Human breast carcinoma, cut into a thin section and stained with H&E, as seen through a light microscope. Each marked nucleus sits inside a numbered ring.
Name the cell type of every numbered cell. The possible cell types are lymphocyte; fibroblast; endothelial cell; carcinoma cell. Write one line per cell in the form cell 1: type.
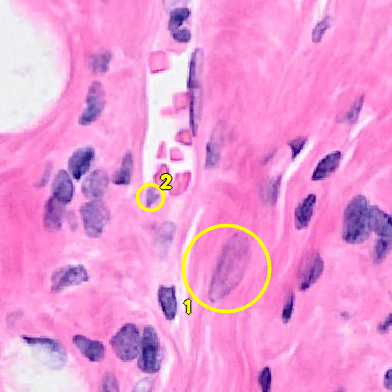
cell 1: fibroblast
cell 2: endothelial cell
